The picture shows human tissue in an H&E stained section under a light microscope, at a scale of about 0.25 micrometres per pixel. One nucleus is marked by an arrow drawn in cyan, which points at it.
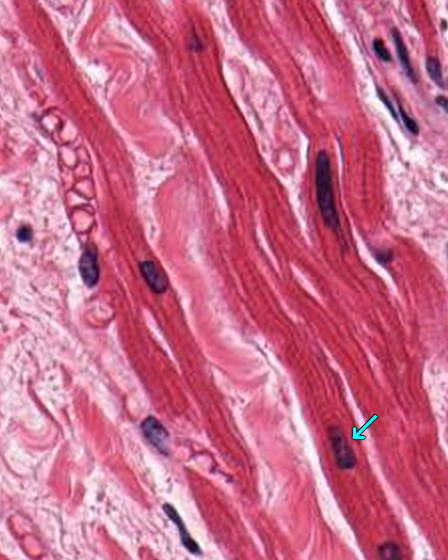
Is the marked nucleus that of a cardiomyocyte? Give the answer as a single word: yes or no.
yes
